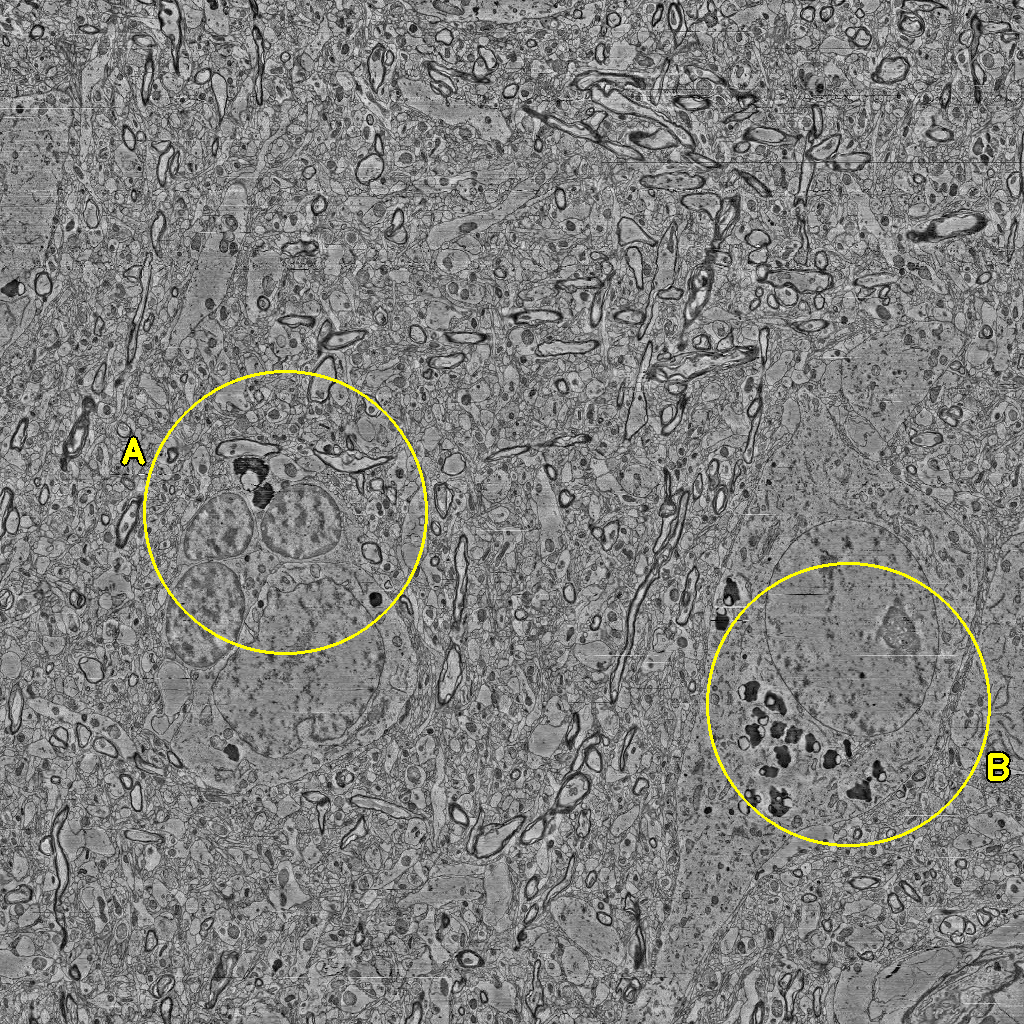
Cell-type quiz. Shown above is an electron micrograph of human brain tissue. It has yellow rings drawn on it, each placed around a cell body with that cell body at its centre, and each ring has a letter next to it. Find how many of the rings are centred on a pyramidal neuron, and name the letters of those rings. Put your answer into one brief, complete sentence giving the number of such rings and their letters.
The ring labelled B is the only one centred on a pyramidal neuron.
